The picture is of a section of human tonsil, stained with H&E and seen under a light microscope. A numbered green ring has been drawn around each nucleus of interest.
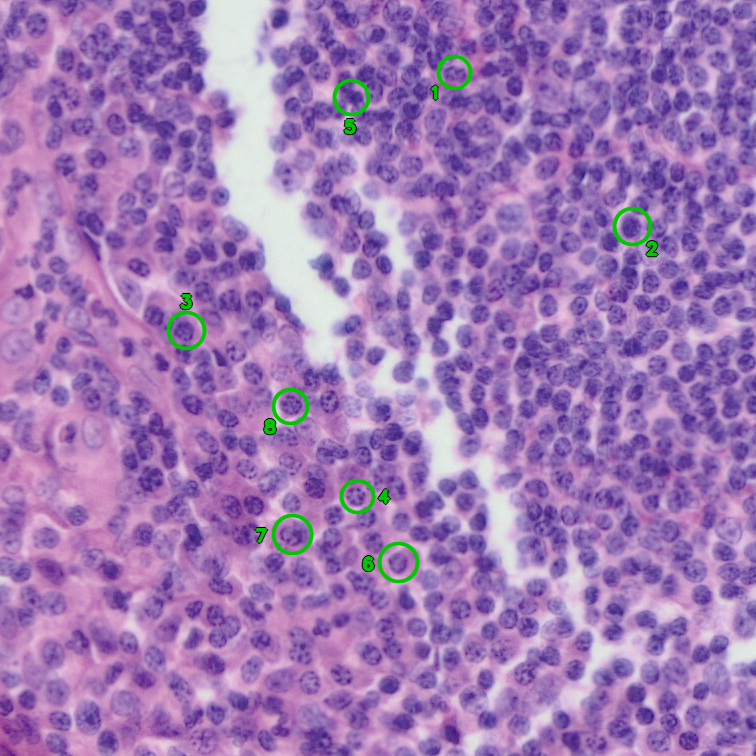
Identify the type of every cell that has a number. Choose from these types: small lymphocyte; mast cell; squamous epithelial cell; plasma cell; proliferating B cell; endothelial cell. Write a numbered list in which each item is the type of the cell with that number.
1. small lymphocyte
2. small lymphocyte
3. plasma cell
4. plasma cell
5. small lymphocyte
6. plasma cell
7. plasma cell
8. plasma cell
